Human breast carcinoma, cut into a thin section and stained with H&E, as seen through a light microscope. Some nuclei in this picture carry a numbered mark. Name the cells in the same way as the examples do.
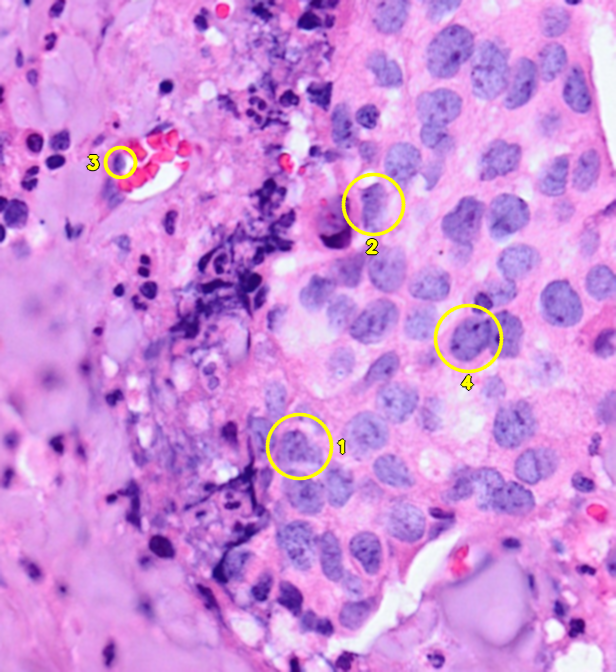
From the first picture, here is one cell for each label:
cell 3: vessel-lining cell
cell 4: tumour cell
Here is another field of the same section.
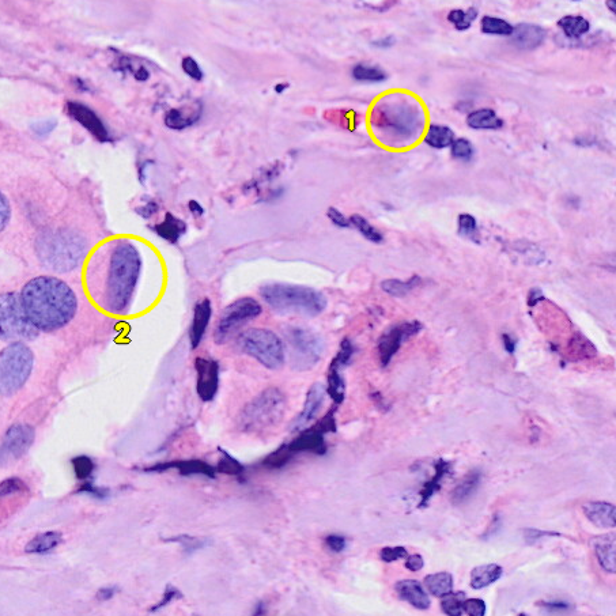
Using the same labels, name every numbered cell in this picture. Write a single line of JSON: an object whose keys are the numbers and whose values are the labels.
{"1": "vessel-lining cell", "2": "tumour cell"}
